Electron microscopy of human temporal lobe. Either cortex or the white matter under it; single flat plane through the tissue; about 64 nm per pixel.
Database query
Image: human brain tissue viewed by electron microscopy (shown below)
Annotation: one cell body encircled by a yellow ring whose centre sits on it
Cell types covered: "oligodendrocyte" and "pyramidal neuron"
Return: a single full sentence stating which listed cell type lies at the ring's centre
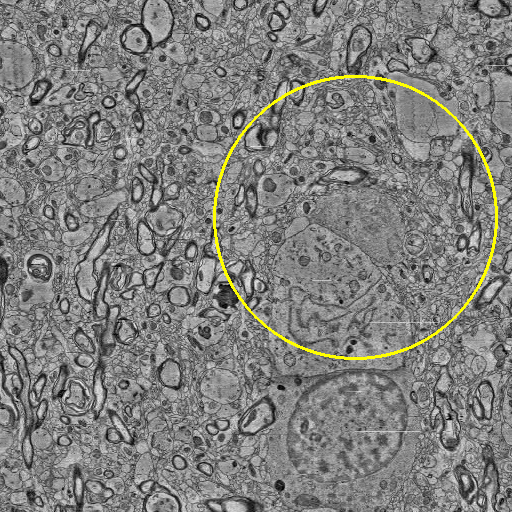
In the image, the cell lying at the ring's centre is an oligodendrocyte.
